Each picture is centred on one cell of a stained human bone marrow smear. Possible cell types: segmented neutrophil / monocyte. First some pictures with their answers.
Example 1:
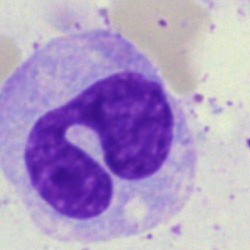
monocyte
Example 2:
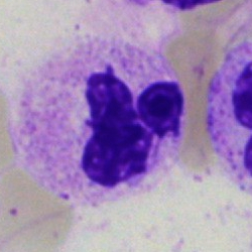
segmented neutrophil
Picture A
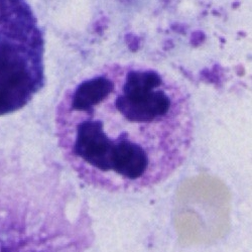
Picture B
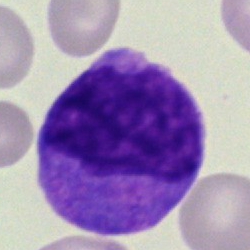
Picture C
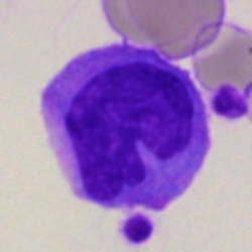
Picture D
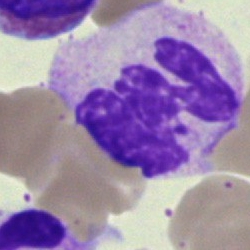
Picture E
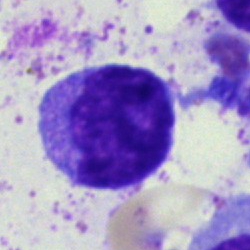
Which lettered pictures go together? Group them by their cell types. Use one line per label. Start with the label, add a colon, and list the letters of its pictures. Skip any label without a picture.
segmented neutrophil: A, D
monocyte: B, C, E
